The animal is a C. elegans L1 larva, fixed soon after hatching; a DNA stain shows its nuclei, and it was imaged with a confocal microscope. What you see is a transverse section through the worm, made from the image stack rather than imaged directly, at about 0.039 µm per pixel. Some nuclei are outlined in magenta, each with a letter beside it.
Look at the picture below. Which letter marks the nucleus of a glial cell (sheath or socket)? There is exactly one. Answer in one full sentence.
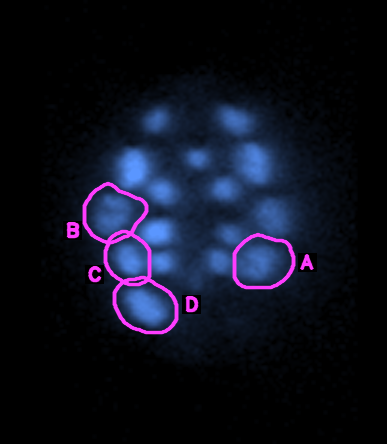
It is A that belongs to a glial cell (sheath or socket).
